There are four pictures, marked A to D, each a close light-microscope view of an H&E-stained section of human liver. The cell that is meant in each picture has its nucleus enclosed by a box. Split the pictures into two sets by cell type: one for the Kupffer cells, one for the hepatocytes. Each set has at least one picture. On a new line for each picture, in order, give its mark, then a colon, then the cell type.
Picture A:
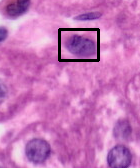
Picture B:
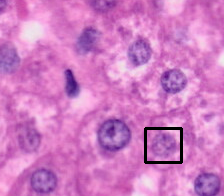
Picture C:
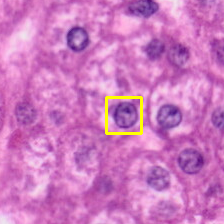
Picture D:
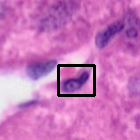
A: Kupffer cell
B: hepatocyte
C: hepatocyte
D: Kupffer cell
